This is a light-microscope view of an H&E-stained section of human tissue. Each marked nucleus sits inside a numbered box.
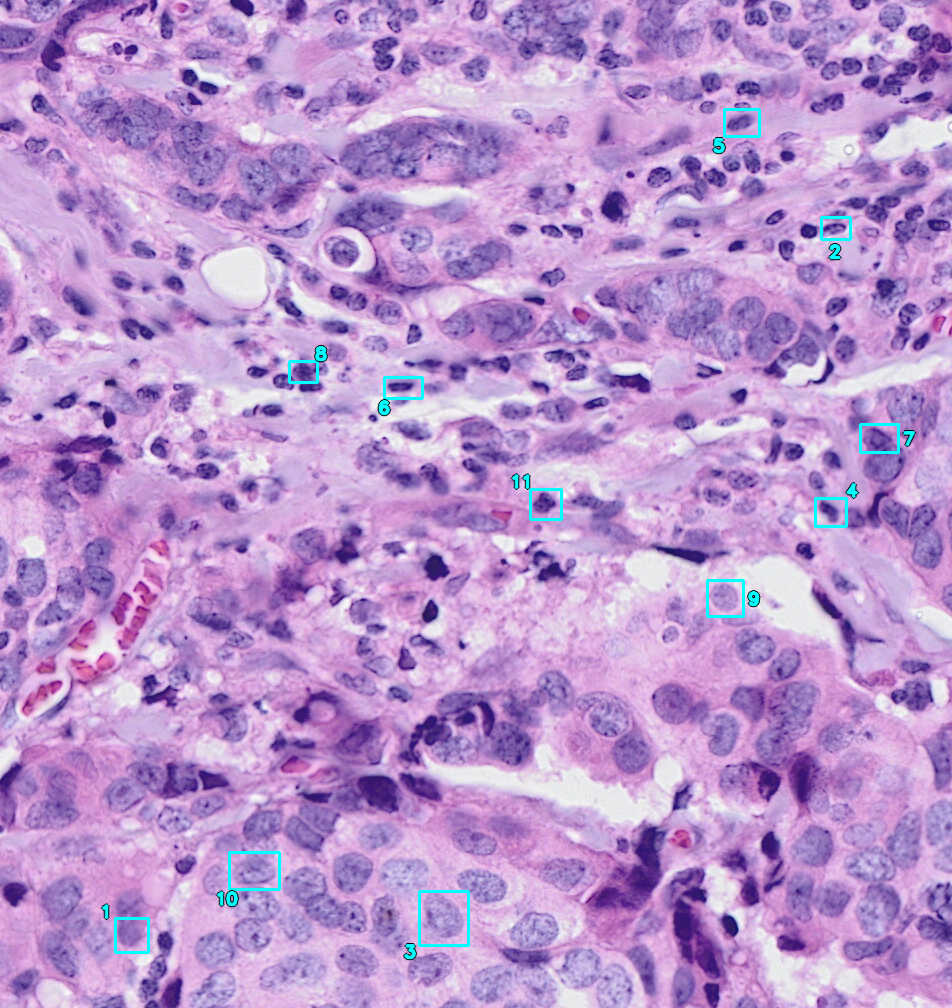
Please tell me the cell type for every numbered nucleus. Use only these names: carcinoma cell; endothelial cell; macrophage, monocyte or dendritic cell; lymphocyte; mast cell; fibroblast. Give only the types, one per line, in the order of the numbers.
carcinoma cell
lymphocyte
carcinoma cell
lymphocyte
lymphocyte
lymphocyte
carcinoma cell
lymphocyte
carcinoma cell
carcinoma cell
lymphocyte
